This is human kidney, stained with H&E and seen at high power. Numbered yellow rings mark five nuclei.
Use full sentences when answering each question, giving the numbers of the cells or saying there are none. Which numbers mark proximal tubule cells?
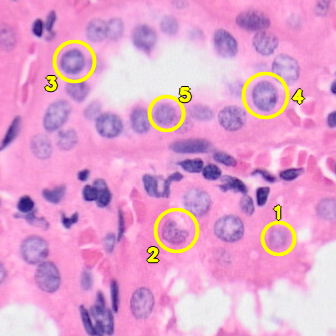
In short, the numbered cells 1 and 2 are proximal tubule cells.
